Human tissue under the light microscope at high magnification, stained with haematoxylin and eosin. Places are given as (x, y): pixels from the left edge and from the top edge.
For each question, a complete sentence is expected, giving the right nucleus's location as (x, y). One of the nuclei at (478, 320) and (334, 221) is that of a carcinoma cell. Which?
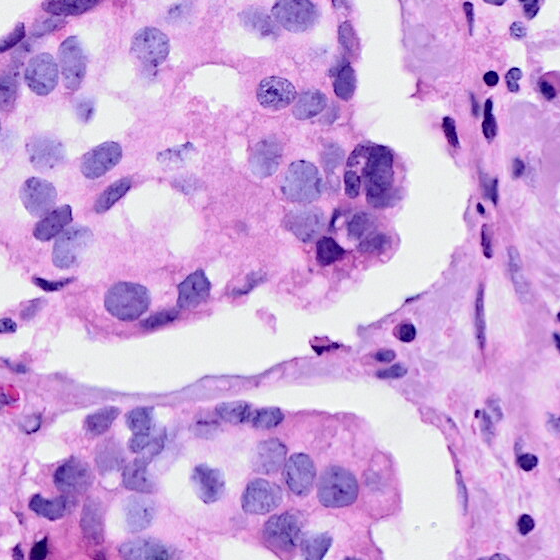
The pair contains one nucleus of a carcinoma cell, namely the one at (334, 221).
